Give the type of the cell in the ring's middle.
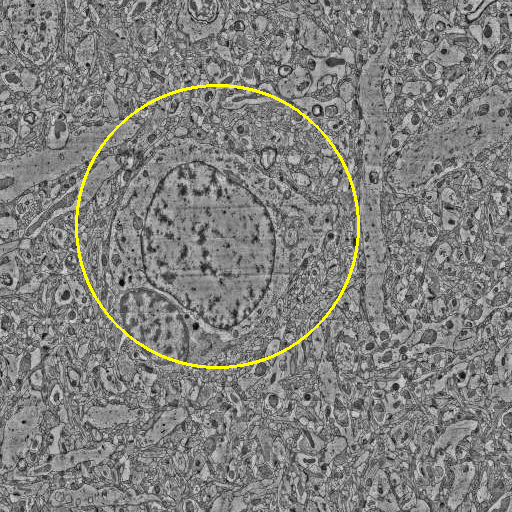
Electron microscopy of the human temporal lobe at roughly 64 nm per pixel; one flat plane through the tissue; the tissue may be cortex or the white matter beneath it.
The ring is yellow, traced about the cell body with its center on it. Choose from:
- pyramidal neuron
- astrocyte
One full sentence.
Here, a pyramidal neuron is the cell lying at the center of the yellow ring.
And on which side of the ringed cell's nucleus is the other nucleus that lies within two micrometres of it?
That other nucleus lies to the lower left of it.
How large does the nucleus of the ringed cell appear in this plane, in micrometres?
Roughly 11 micrometres by 9 micrometres, in this plane.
